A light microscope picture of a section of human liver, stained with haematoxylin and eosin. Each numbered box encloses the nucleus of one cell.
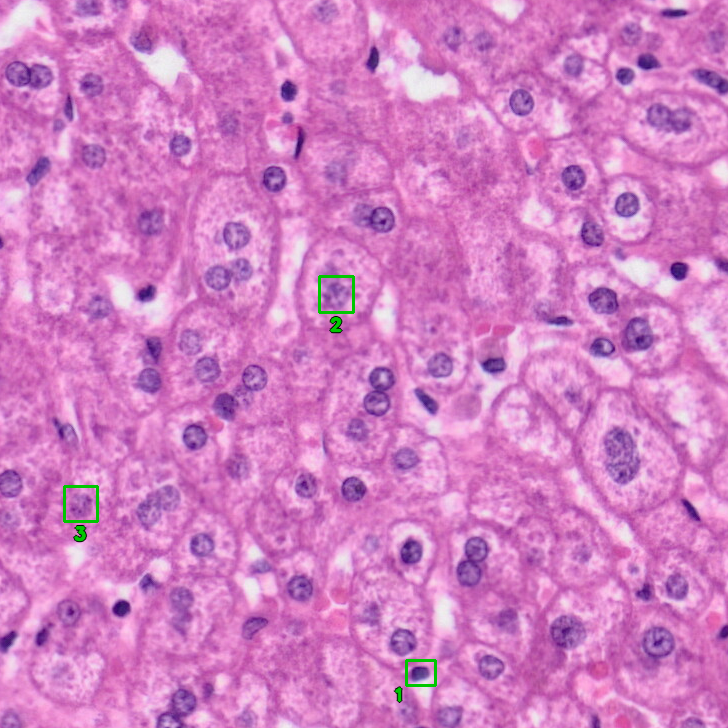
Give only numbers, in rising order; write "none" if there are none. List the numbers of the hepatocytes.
2, 3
